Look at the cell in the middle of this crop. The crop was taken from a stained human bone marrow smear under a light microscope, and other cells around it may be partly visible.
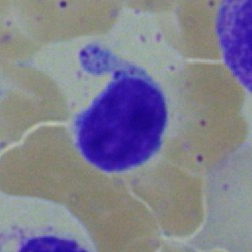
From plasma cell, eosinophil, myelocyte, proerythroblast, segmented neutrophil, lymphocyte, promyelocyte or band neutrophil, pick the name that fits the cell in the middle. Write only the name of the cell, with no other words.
lymphocyte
